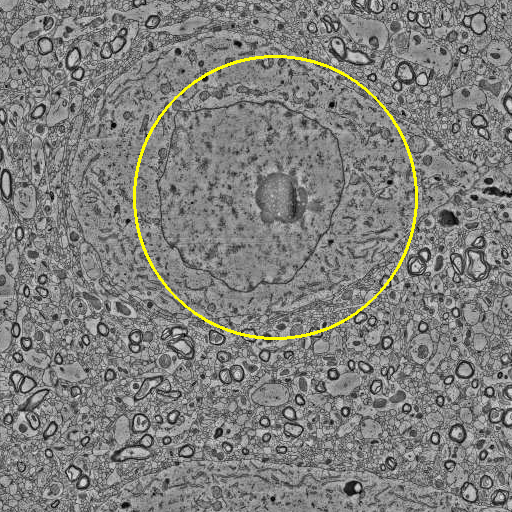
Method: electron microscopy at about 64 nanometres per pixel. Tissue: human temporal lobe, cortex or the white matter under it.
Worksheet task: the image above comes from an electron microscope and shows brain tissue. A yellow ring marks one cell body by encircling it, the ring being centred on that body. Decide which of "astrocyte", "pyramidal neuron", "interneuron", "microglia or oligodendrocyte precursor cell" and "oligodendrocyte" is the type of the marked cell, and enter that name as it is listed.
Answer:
pyramidal neuron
